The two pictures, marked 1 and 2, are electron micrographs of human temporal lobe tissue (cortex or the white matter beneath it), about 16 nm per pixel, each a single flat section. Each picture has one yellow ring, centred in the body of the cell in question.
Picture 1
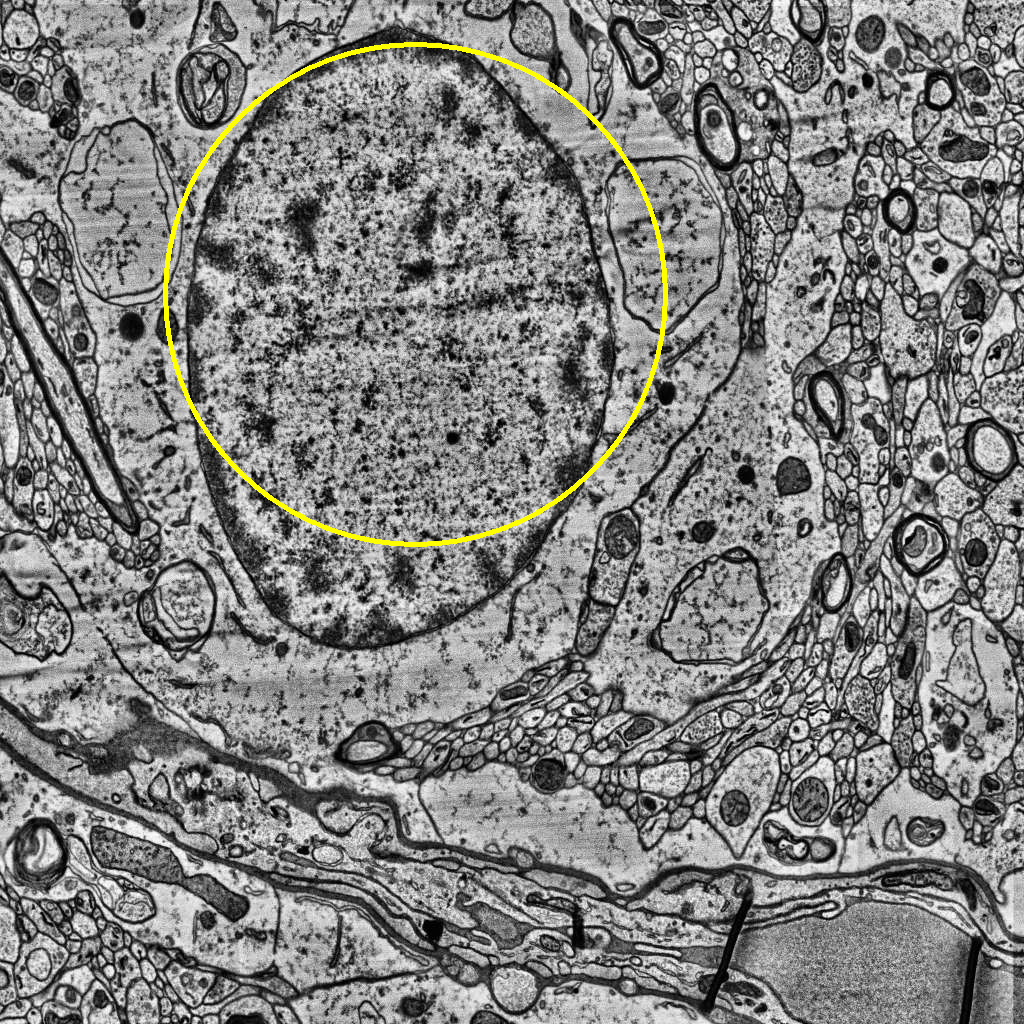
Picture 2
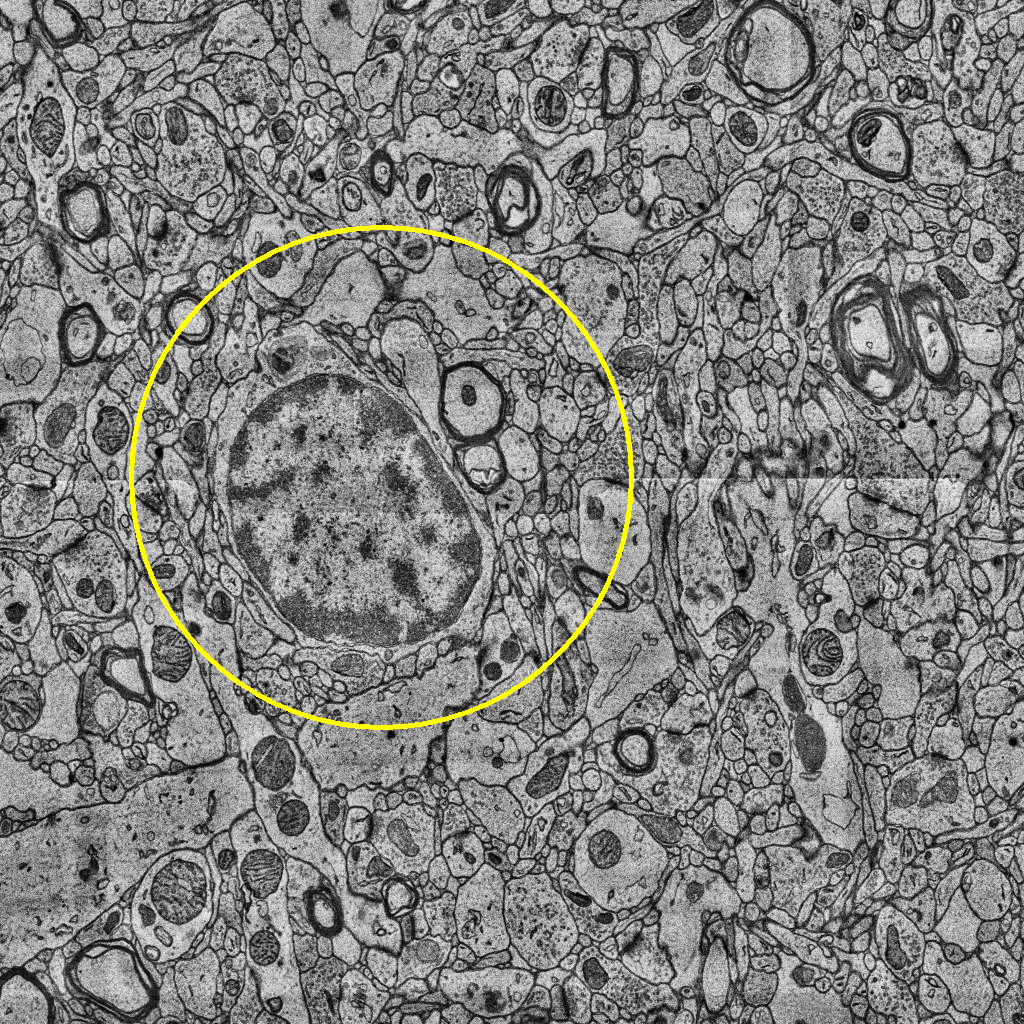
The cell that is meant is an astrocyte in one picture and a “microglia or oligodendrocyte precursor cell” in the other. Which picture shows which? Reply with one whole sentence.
The cell in picture 1 is an astrocyte, and the one in picture 2 is a “microglia or oligodendrocyte precursor cell”.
